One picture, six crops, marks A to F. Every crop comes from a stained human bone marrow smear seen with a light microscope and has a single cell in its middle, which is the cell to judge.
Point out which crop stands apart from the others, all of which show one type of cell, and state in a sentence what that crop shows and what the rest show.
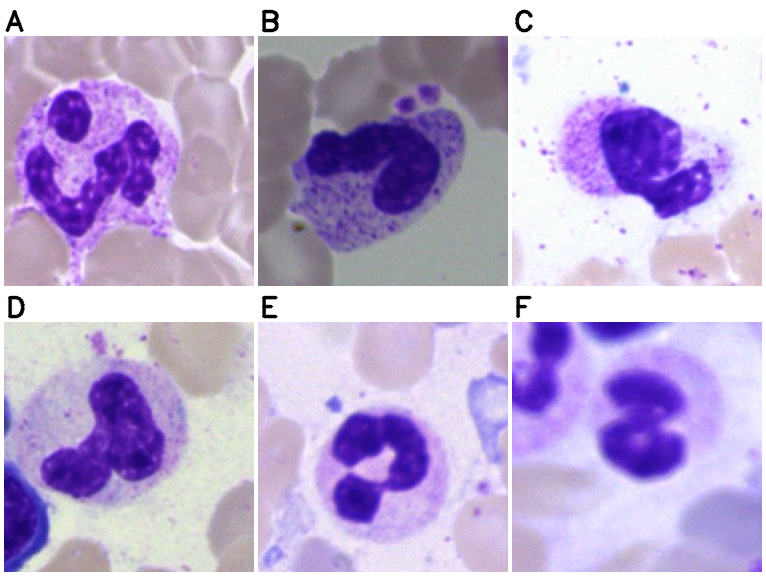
Of all the crops, only crop B shows a band neutrophil; the others show segmented neutrophils.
